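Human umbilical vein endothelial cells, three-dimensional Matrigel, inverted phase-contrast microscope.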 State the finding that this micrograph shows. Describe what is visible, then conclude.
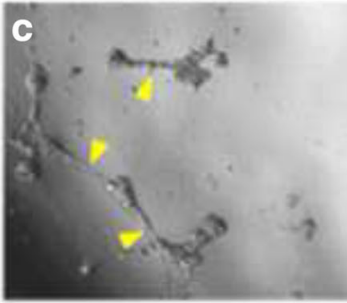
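No continuous network of cords or enclosed loops is present. Much of the field is empty gel. That points to this answer: notable disassembly in the tube-like structures.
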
